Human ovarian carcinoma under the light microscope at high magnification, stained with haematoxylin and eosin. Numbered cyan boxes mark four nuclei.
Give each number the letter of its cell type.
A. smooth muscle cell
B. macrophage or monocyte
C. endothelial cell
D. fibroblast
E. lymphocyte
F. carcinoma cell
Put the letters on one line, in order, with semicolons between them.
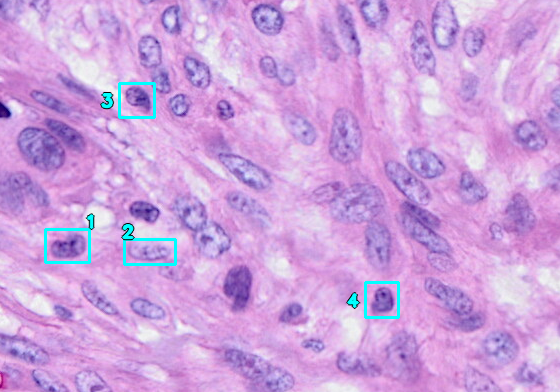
B; D; B; B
